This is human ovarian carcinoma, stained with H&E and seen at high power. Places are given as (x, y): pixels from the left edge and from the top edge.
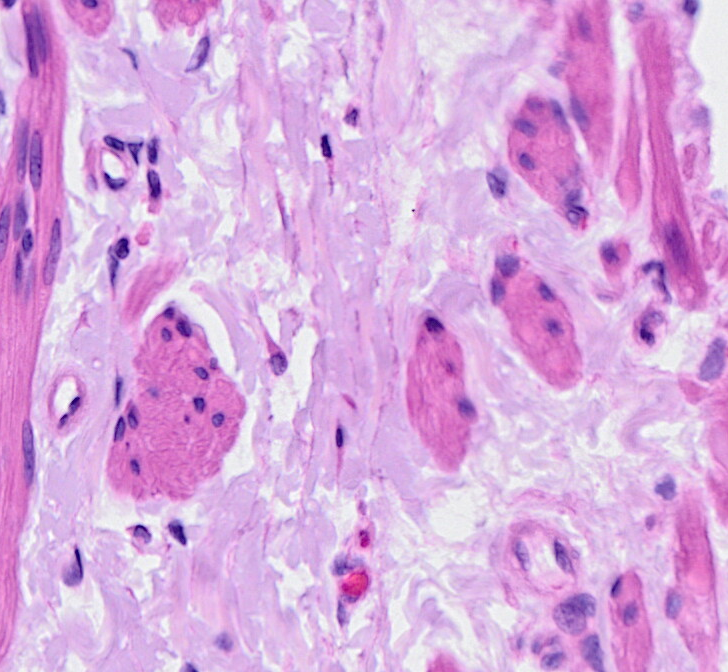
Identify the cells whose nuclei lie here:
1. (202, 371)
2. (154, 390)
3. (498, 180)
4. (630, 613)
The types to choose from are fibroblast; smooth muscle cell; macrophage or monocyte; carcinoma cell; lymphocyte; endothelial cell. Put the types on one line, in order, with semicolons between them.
smooth muscle cell; smooth muscle cell; fibroblast; smooth muscle cell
